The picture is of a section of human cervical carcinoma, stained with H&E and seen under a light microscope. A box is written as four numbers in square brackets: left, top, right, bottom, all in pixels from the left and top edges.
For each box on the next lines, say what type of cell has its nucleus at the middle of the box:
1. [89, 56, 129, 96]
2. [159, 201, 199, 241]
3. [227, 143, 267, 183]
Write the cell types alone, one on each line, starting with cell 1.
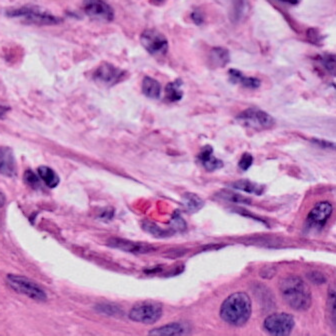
fibroblast
endothelial cell
lymphocyte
